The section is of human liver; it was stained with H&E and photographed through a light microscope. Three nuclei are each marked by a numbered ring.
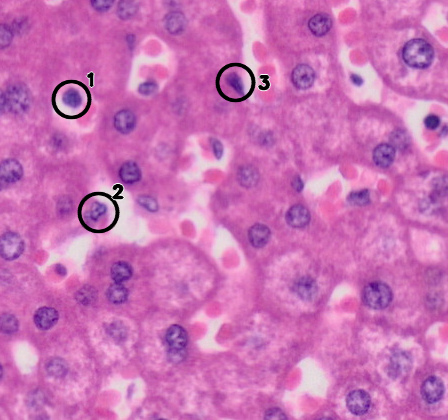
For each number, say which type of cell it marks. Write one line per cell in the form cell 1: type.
cell 1: lymphocyte
cell 2: Kupffer cell
cell 3: fibroblast or stellate cell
